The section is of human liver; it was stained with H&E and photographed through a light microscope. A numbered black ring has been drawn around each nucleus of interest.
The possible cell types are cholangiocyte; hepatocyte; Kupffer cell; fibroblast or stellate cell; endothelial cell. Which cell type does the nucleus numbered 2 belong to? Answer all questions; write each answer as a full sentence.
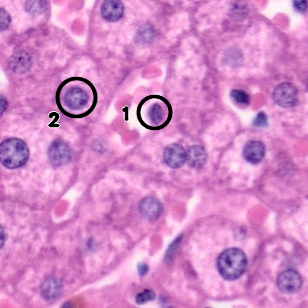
The cell bearing label 2 corresponds to a hepatocyte.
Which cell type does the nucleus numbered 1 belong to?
The correct answer for cell 1 is a Kupffer cell.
